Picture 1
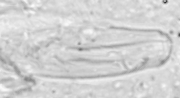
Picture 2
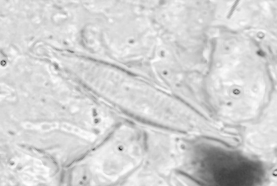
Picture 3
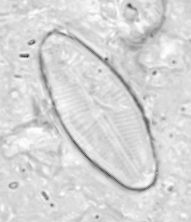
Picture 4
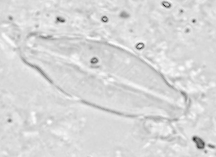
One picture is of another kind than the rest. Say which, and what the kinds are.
Picture 2 shows Fragilaria; the rest show Sellaphora.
